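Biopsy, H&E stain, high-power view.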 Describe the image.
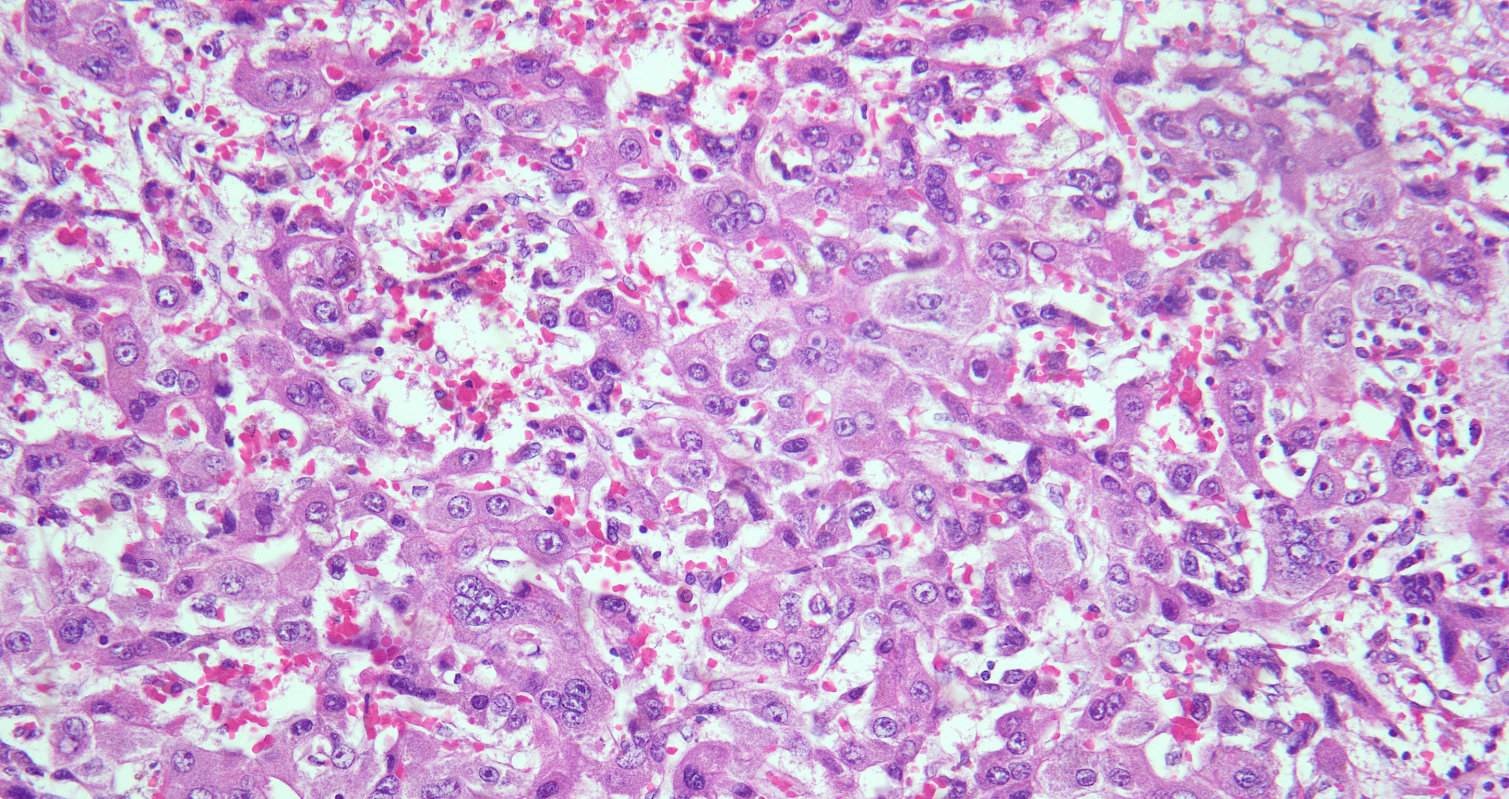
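This is a liver tumour made of markedly atypical hepatocellular cells, arranged in irregular sheets and cords. The cells are large and polygonal, with plentiful pink cytoplasm. Their nuclei are enlarged and vary a great deal in size and shape. Many have vesicular chromatin and distinct nucleoli. Some cells carry several nuclei clustered together, giving multinucleated giant forms. Between the tumour cells lie pale, loose spaces crowded with red blood cells and scattered small dark inflammatory cells, which break up the normal orderly plate architecture of the liver.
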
